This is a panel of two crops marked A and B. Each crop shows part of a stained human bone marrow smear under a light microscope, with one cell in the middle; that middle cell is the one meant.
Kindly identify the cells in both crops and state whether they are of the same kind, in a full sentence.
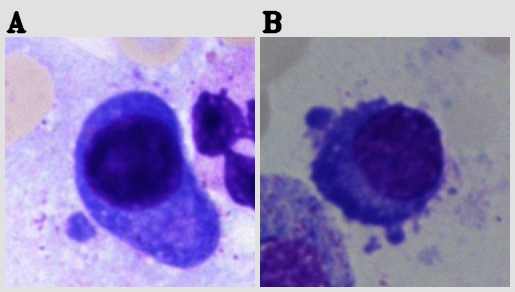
Yes, both crops, not just one, show plasma cells.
